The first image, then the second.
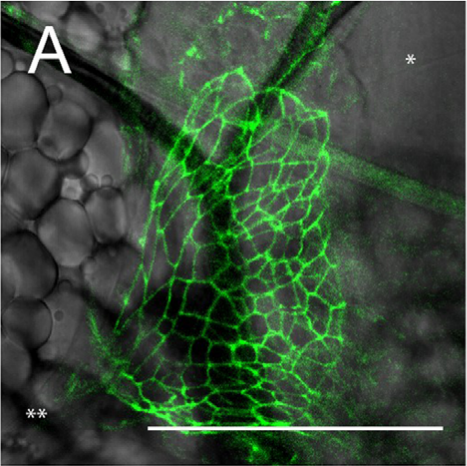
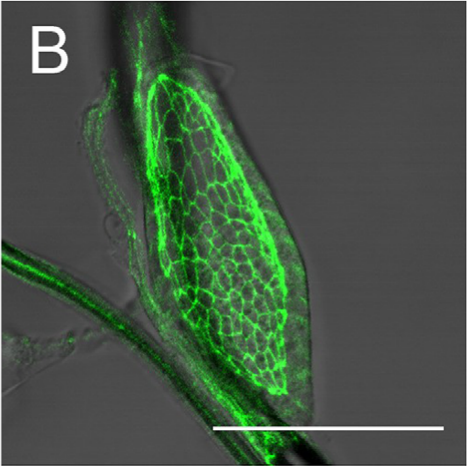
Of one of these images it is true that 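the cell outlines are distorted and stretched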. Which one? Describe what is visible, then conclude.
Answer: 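First image: the green polygons are larger, irregular and elongated, with the network bent where dark bands cross the sheet. That points to this answer: the first image.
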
